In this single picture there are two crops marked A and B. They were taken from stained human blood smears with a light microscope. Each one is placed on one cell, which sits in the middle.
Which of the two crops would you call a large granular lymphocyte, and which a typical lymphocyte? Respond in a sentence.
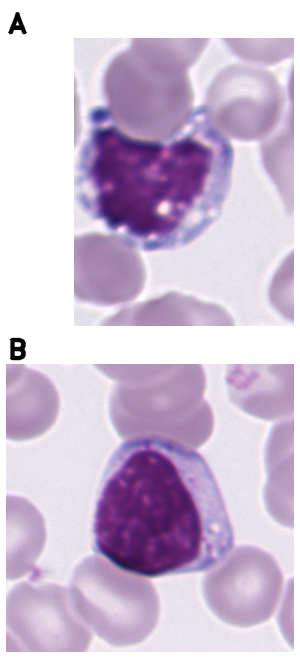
The crop marked A shows a typical lymphocyte; the crop marked B shows a large granular lymphocyte.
